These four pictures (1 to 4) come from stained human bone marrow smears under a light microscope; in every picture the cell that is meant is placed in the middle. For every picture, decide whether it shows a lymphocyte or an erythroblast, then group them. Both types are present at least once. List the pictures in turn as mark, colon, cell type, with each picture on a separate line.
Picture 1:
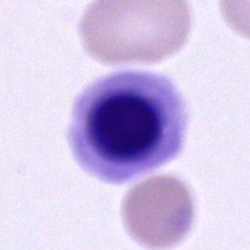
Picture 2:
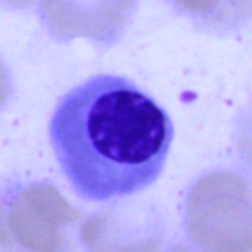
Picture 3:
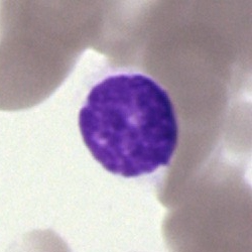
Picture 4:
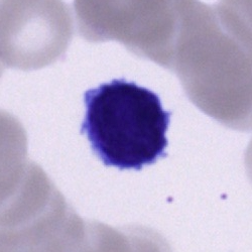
1: erythroblast
2: erythroblast
3: lymphocyte
4: lymphocyte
